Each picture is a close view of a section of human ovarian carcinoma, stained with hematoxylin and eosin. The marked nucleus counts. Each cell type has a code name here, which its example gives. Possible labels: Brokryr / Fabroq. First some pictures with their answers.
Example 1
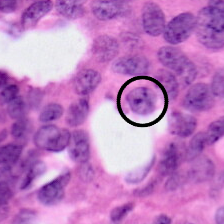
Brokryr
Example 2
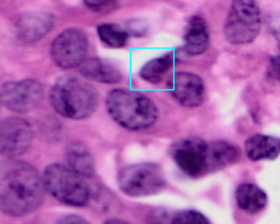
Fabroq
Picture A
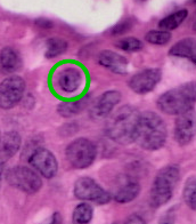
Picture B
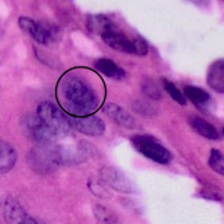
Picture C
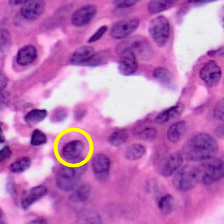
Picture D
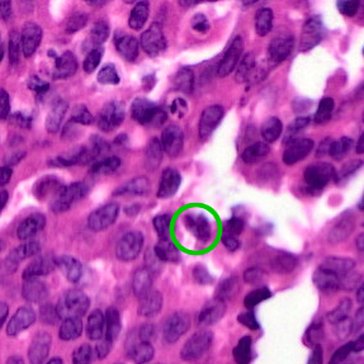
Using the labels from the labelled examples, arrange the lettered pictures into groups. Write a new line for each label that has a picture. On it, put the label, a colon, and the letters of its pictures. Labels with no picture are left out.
Brokryr: A, C, D
Fabroq: B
